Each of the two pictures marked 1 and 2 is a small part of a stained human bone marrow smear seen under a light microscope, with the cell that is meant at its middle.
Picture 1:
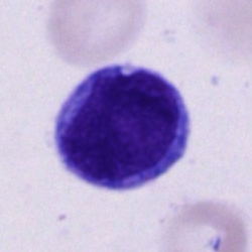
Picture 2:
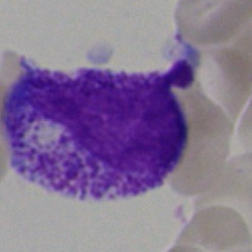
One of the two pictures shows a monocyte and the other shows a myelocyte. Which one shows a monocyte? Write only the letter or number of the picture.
1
